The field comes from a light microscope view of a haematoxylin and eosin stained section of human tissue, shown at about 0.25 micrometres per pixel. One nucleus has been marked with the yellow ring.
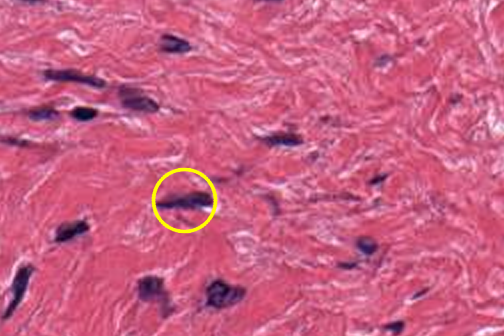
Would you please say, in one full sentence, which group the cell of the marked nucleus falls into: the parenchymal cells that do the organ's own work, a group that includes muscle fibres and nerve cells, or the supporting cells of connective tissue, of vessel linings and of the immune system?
It is to a supporting cell that the marked nucleus is assigned.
